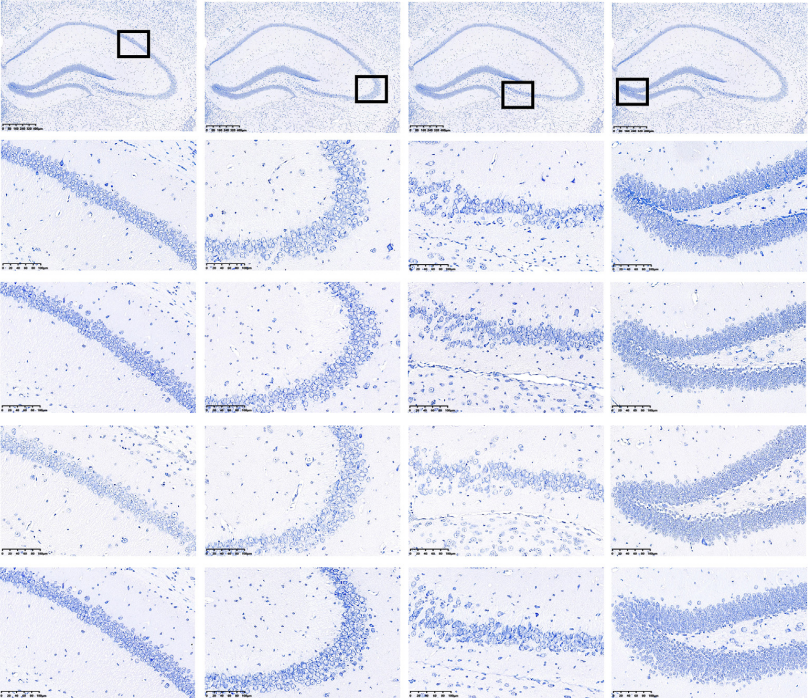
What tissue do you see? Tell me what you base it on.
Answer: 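Low-magnification overviews show a curved C-shaped band of densely stained cells with an interlocking V-shaped band of small packed cells. Higher-magnification images show tightly packed blue-stained cell bodies arranged in layers.
Hence: hippocampus.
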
